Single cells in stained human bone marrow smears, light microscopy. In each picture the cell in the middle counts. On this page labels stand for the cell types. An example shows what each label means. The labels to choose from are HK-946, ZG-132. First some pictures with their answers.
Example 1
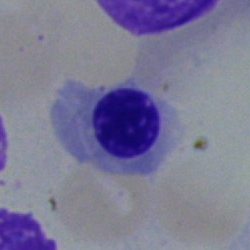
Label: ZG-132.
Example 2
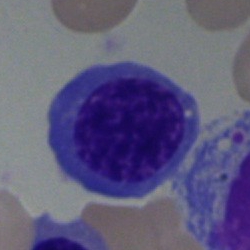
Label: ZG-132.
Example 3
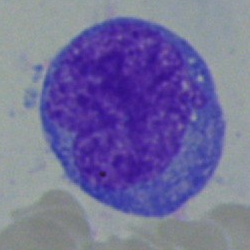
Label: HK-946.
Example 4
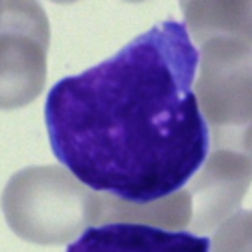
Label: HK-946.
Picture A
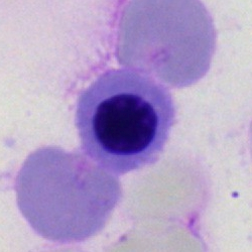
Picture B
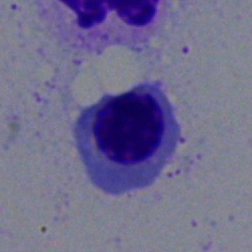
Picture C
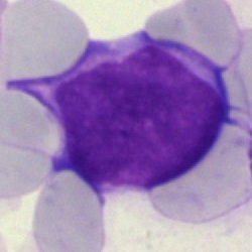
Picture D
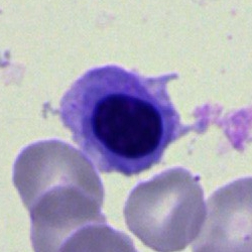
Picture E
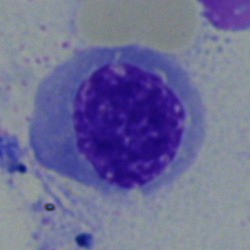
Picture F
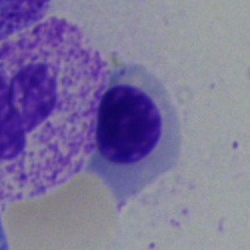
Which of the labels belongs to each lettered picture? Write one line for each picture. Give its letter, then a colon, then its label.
A: ZG-132.
B: ZG-132.
C: HK-946.
D: ZG-132.
E: ZG-132.
F: ZG-132.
